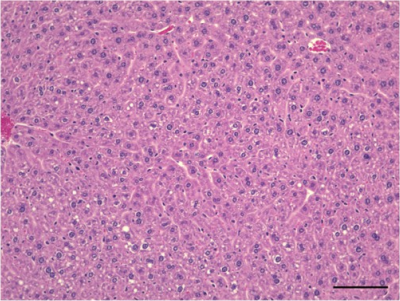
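Liver parenchyma made up of closely packed hepatocytes. They are polygonal cells with pink cytoplasm and single, round, centrally placed purple nuclei, arranged in cords separated by thin pale sinusoidal spaces. Scattered small clear spaces lie within or between the cells. Several small vessels filled with red-staining blood cells stand out against the pink background, one of them at the upper left edge. The cells are evenly sized and evenly distributed across the field, and nothing is seen of inflammatory infiltrates, fibrosis or dead cells.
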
